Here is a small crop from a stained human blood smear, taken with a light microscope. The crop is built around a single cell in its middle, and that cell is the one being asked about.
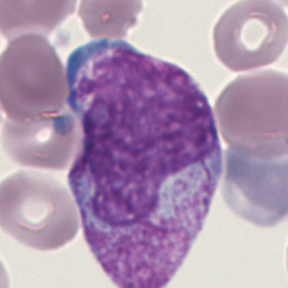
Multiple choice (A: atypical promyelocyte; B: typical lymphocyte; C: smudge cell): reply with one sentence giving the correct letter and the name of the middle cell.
Option A is the right choice, the central cell being an atypical promyelocyte.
